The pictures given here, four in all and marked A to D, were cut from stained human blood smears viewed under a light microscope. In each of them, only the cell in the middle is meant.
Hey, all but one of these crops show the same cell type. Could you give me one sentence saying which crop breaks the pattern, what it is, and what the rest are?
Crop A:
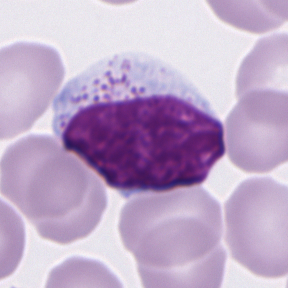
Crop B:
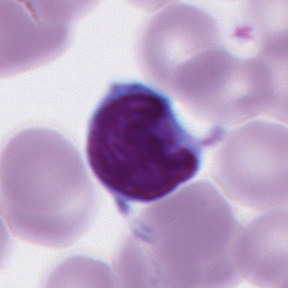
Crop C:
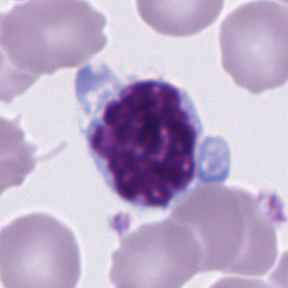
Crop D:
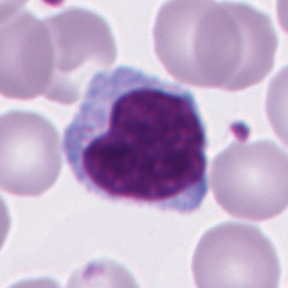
Whereas the other crops all show typical lymphocytes, crop A shows a large granular lymphocyte.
